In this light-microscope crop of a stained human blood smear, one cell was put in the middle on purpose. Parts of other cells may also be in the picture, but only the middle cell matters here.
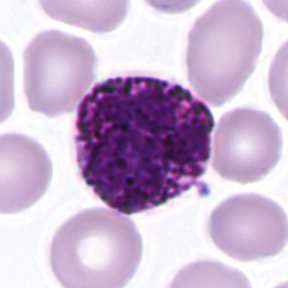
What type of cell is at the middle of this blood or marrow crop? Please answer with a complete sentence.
The central element of this crop is a cell, namely a basophil.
